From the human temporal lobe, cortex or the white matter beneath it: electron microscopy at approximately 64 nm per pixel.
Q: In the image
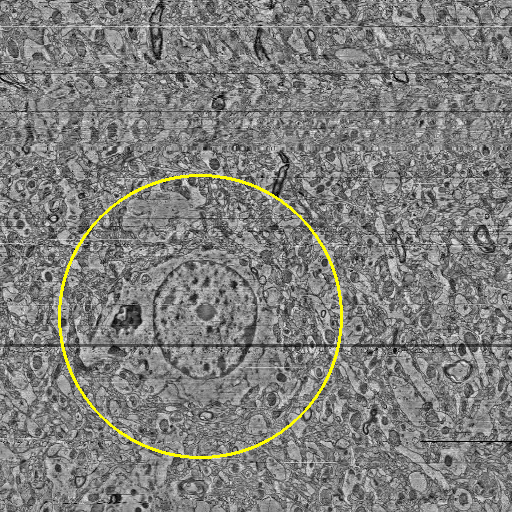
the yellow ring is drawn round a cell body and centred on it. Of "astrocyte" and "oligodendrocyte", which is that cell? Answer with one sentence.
The cell centred in the ring is an astrocyte.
